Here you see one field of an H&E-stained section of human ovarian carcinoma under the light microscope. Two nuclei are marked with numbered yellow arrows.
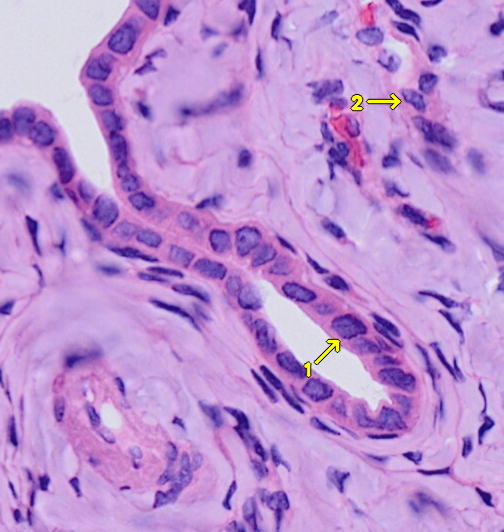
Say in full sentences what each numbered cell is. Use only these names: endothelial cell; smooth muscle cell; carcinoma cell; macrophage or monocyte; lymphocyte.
Cell 1 is a carcinoma cell and cell 2 is an endothelial cell.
